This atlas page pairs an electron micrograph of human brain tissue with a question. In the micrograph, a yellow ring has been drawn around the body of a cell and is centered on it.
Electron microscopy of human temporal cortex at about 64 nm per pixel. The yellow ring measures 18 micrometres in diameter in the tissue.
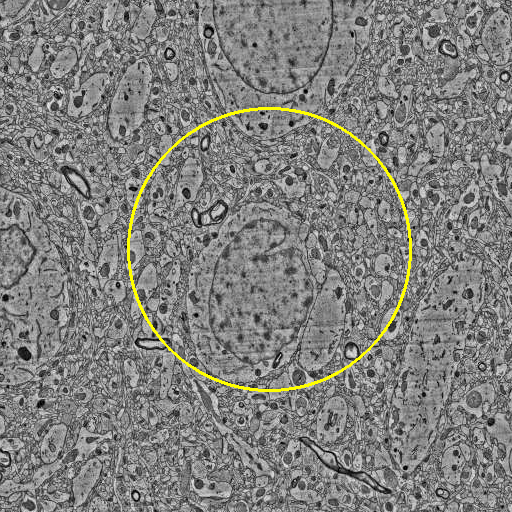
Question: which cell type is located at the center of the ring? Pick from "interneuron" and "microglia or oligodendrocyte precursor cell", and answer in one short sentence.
Located at the center of the ring is an interneuron.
